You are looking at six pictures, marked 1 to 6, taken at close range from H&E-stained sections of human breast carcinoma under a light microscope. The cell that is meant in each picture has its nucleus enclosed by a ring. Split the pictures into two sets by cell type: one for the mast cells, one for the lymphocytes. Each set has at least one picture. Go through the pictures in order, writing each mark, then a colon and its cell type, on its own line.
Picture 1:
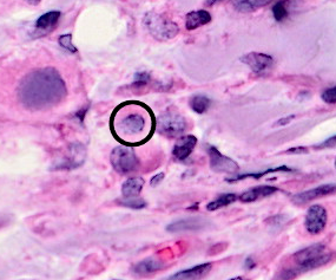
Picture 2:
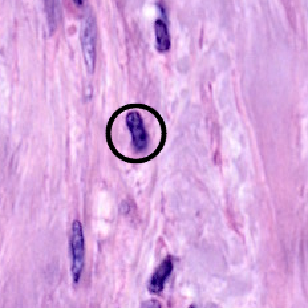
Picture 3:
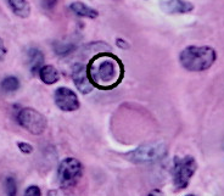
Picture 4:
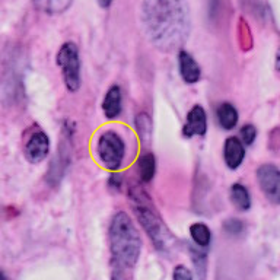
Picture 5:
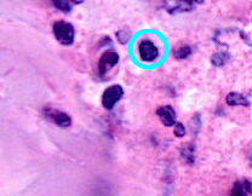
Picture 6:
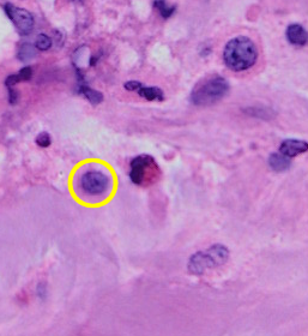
1: mast cell
2: mast cell
3: lymphocyte
4: lymphocyte
5: lymphocyte
6: mast cell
